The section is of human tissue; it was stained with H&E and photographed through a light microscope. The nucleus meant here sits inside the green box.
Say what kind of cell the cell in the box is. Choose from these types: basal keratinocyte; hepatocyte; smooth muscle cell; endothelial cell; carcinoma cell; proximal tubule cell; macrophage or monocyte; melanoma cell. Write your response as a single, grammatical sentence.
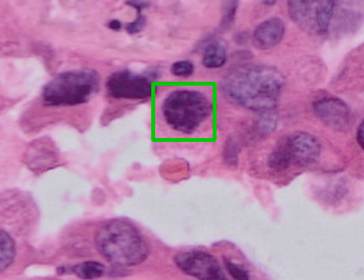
The classification of the cell in the box is as a carcinoma cell.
